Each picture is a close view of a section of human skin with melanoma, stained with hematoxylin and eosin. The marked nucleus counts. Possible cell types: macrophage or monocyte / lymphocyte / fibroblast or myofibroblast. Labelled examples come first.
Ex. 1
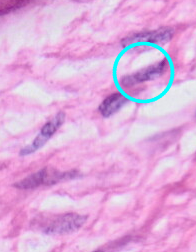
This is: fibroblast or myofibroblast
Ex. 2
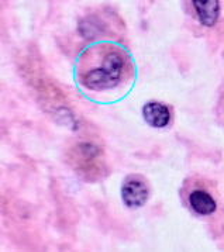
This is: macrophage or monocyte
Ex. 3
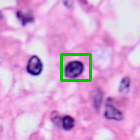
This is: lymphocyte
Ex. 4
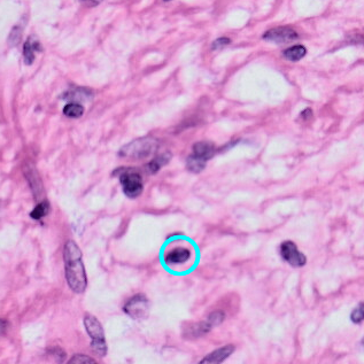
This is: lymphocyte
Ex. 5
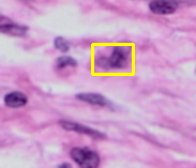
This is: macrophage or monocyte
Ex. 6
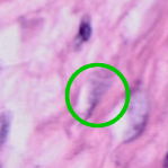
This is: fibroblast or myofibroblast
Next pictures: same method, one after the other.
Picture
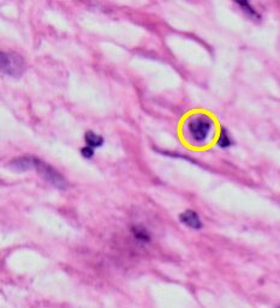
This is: lymphocyte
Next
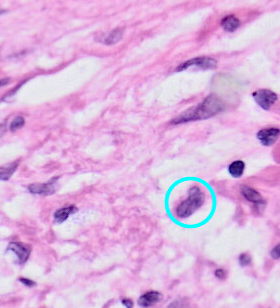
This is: macrophage or monocyte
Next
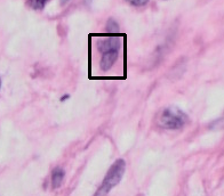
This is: macrophage or monocyte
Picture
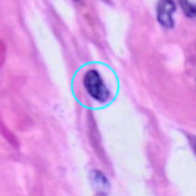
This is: lymphocyte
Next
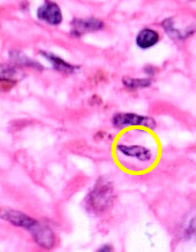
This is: lymphocyte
